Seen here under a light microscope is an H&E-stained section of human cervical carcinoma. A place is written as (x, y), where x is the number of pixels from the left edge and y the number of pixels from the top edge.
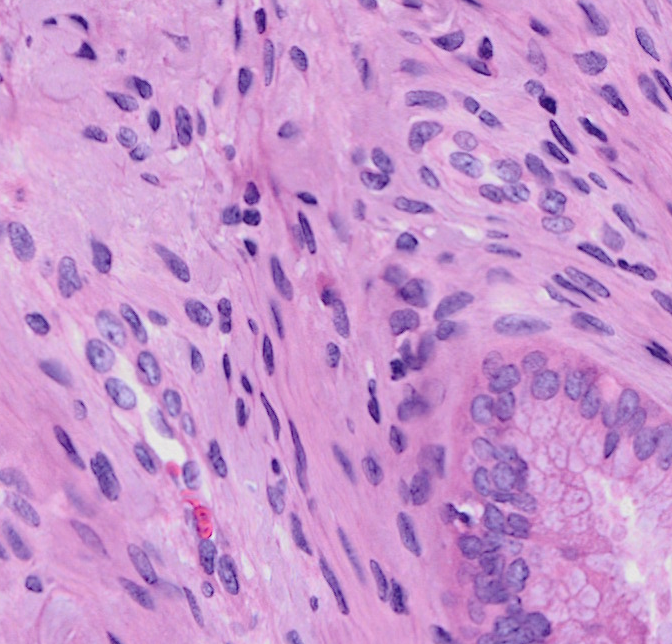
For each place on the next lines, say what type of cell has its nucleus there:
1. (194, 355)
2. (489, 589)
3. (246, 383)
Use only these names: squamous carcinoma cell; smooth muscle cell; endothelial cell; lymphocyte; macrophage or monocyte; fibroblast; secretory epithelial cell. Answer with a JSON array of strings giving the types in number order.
["fibroblast", "secretory epithelial cell", "fibroblast"]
